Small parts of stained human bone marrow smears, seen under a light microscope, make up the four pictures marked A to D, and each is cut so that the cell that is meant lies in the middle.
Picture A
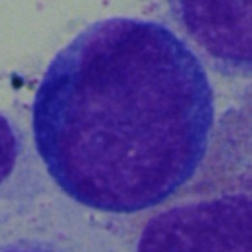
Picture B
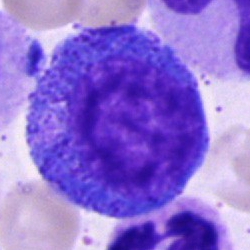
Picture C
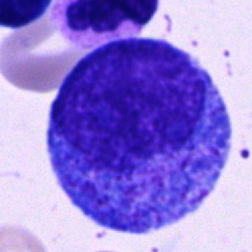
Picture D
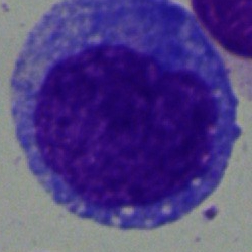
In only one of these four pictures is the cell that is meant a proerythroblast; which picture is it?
A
